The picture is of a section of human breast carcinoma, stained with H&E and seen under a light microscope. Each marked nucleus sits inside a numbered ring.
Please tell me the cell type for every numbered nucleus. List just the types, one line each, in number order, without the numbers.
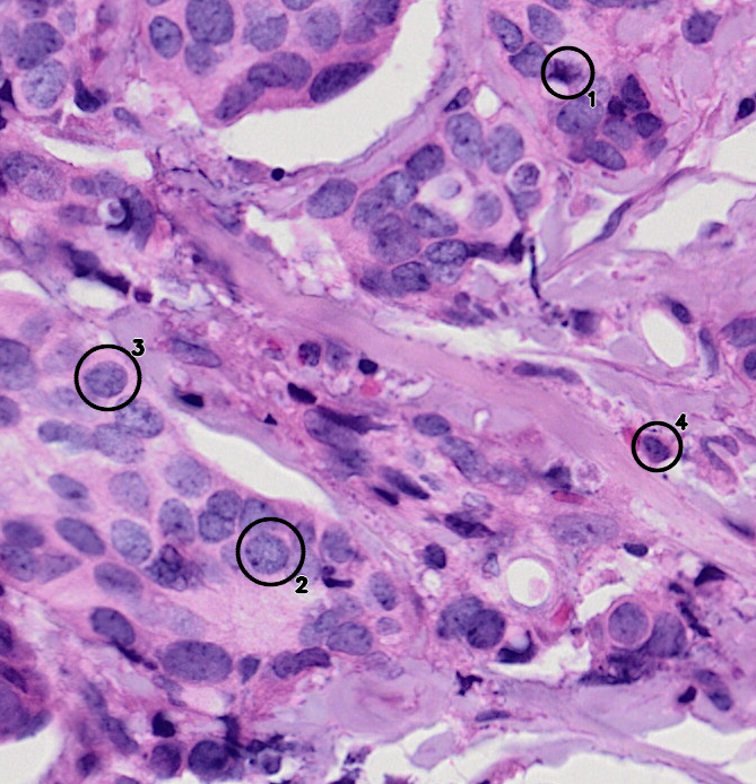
carcinoma cell
carcinoma cell
carcinoma cell
mast cell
